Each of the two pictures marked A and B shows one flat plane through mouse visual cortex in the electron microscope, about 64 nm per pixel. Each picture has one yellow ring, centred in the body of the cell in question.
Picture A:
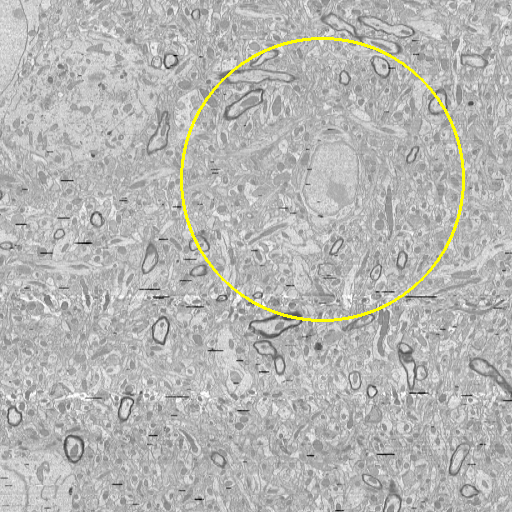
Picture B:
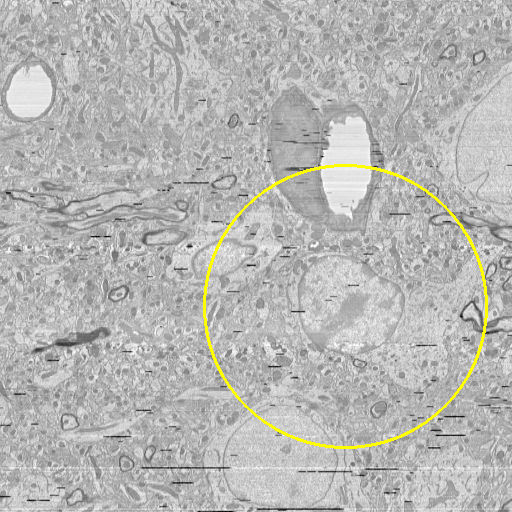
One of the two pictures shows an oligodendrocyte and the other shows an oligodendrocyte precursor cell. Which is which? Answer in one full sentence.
In picture A the cell is an oligodendrocyte precursor cell; in picture B, an oligodendrocyte.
